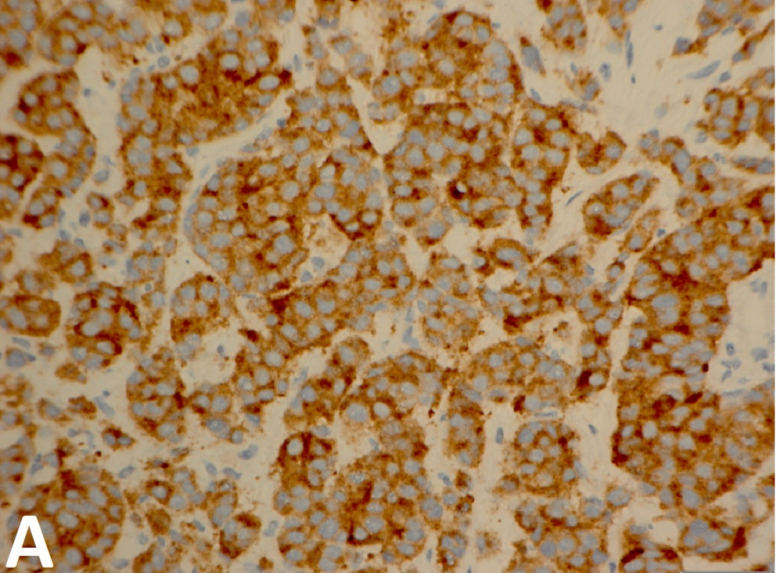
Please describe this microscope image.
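The cells have round to oval pale blue nuclei. Their cytoplasm takes a granular brown stain. The stromal cells between the nests are spindle-shaped, have slender blue nuclei and stay unstained.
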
